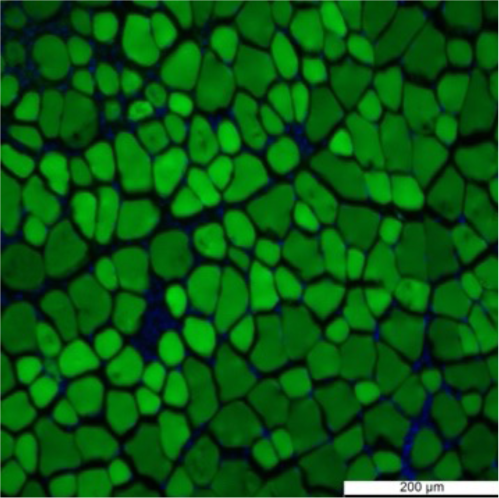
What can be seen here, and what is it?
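This is a cross-section of skeletal muscle in which the muscle fibres fill with green fluorescence. The green is not equal from fibre to fibre: many fibres are bright, while others are dimmer. Small patches of blue lie in a few gaps between fibres. The cytoplasm of the bright fibres is evenly filled, with only occasional small dark spots.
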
